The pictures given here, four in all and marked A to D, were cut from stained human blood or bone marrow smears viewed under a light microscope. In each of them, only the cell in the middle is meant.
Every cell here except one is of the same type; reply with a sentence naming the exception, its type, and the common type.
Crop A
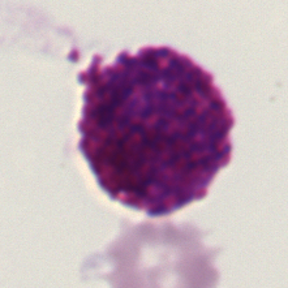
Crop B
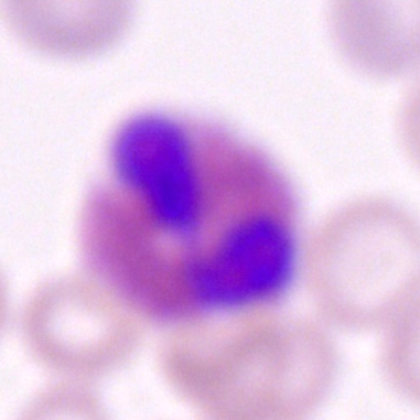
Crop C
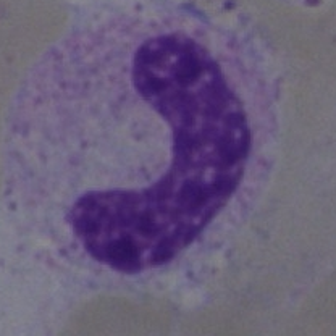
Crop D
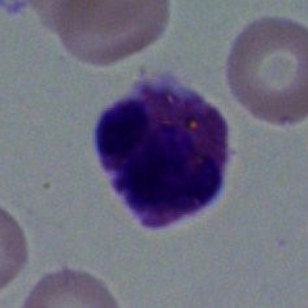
Shown in crop C is a band neutrophil, in contrast to the eosinophils of all the other crops.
